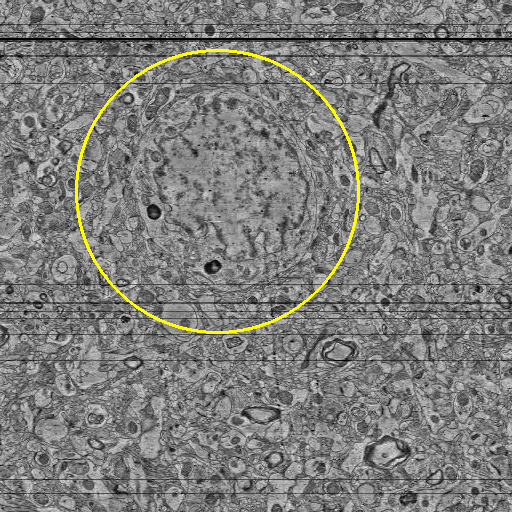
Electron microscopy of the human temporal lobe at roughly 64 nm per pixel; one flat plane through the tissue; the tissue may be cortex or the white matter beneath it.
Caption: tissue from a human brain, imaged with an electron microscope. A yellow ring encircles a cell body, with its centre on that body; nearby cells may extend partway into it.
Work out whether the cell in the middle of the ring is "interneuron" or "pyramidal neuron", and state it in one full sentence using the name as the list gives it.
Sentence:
In the picture, the cell that the yellow ring surrounds at its centre is an interneuron.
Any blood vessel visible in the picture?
No, no blood vessel shows in the picture.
